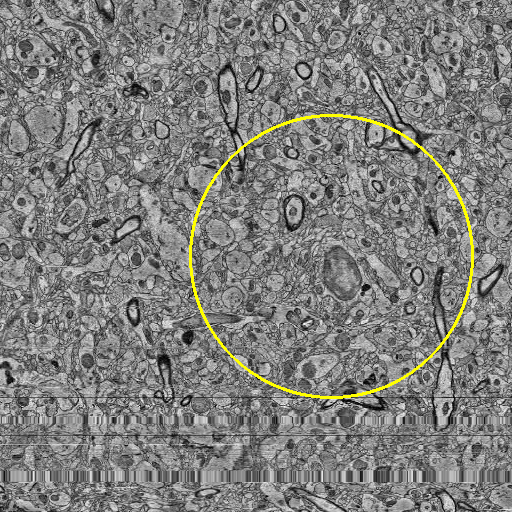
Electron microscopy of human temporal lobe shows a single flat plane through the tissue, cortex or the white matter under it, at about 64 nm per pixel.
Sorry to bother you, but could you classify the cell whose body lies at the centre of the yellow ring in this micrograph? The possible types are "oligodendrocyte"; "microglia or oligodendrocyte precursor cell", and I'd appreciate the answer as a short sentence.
The ringed cell body is that of a microglial cell or oligodendrocyte precursor cell.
